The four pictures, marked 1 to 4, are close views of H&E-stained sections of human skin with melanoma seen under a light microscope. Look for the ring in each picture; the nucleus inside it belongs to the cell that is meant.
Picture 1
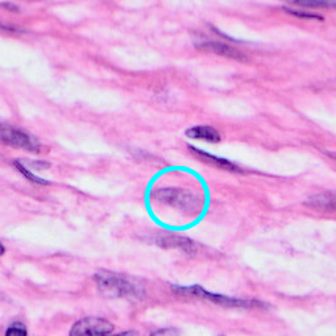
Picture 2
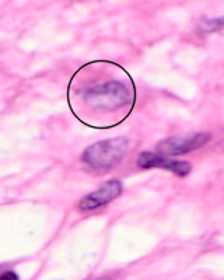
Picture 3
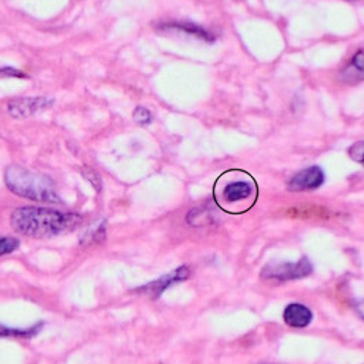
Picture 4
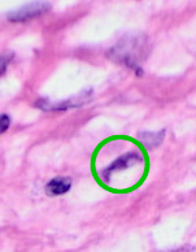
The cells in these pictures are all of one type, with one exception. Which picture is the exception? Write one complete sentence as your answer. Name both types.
All pictures except 3 show “fibroblasts or myofibroblasts”; picture 3 shows a lymphocyte.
